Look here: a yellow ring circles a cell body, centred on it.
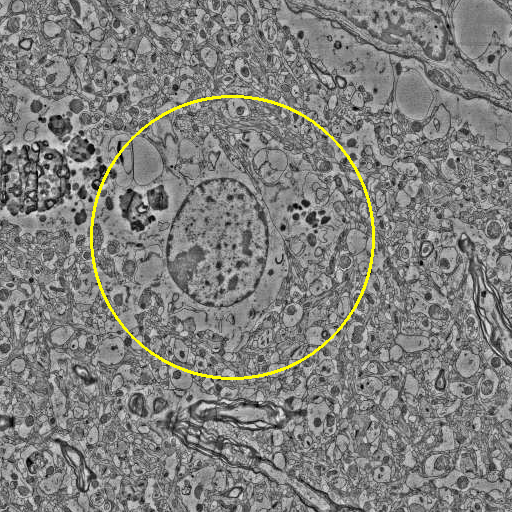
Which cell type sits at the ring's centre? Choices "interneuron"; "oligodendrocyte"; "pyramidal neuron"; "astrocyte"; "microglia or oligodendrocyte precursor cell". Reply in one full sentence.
The cell at the centre of the yellow ring in the picture is an astrocyte.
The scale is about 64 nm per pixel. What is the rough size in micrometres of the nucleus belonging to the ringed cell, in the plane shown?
About 8 by 6 micrometers, in this plane.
